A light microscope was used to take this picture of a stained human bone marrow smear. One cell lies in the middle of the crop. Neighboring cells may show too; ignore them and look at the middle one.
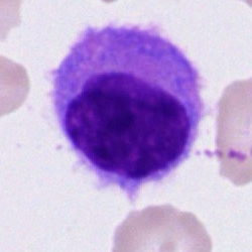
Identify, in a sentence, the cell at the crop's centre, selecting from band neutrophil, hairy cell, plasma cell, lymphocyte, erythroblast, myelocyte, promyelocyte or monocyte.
Standing at the centre of this crop is a hairy cell.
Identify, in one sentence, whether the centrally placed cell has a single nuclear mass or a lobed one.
The nucleus amounts to one compact mass with a round, oval or kidney-shaped outline.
